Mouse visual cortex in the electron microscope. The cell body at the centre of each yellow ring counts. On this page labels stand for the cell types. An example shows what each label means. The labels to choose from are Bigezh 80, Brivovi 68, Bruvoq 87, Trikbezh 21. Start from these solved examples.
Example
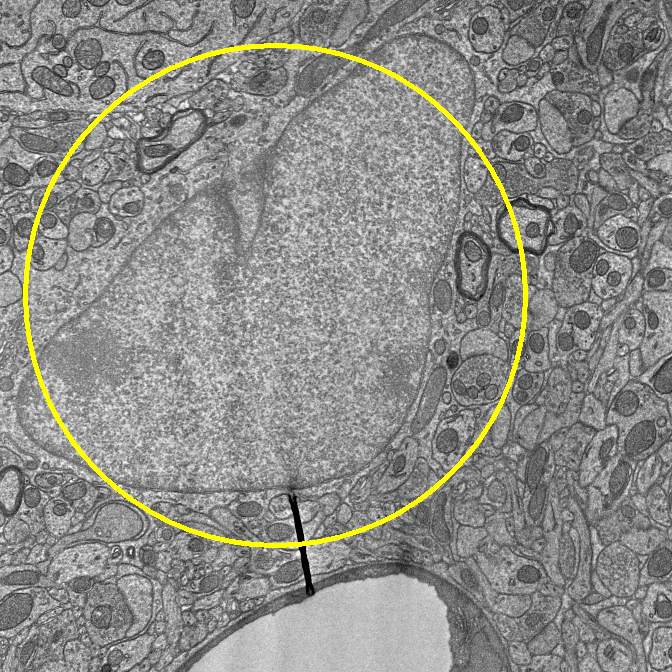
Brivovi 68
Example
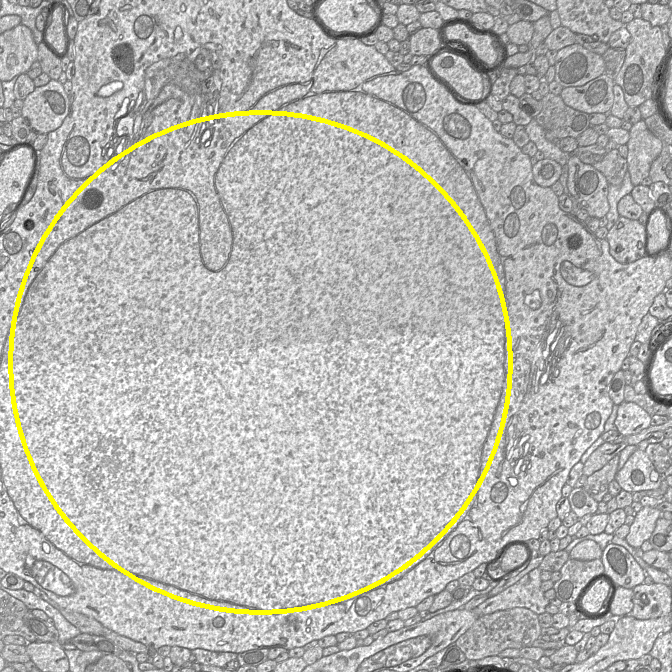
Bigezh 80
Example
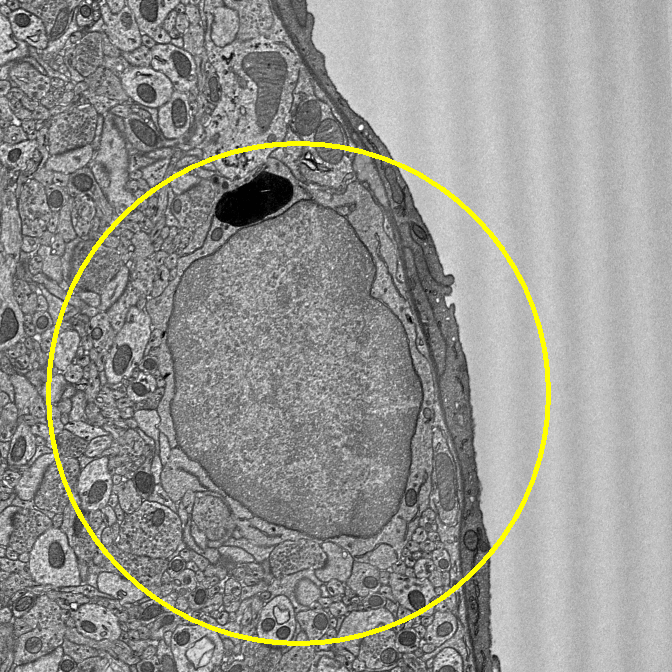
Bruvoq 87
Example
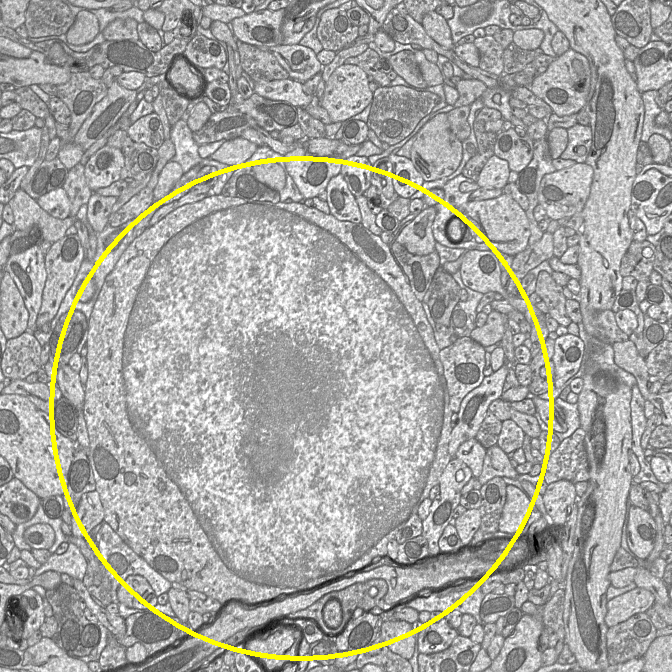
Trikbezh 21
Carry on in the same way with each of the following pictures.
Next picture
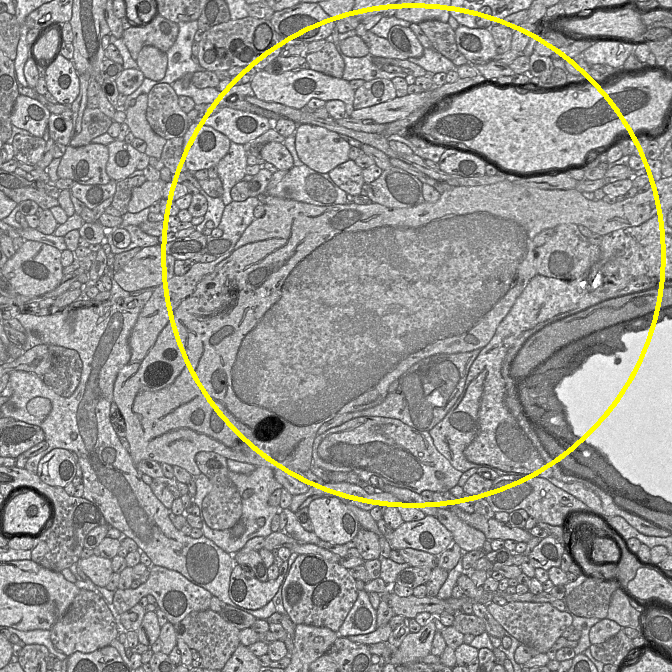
Bruvoq 87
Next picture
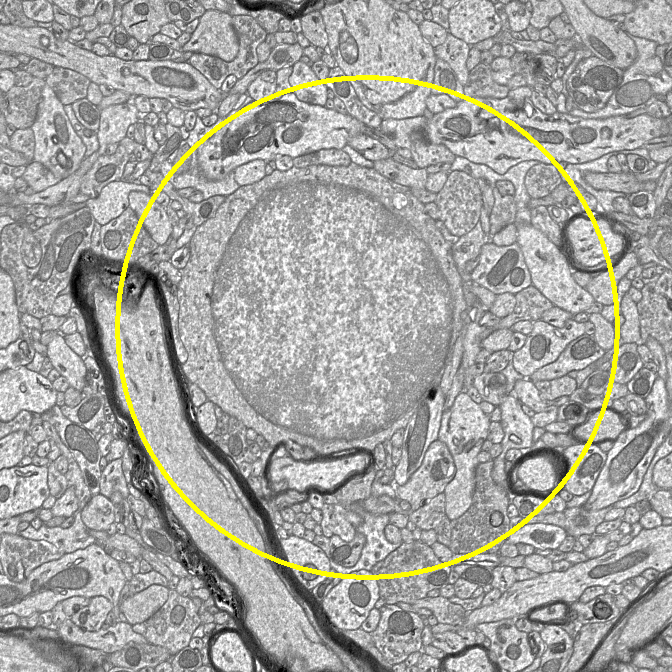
Trikbezh 21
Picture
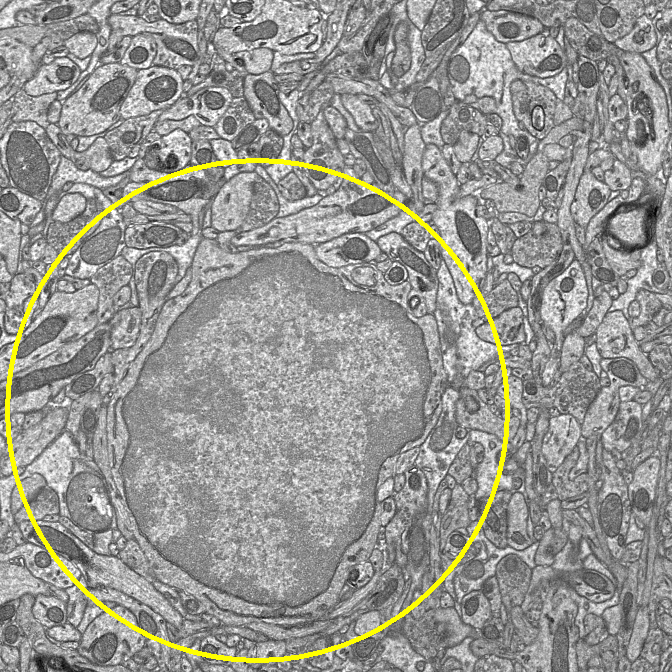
Bruvoq 87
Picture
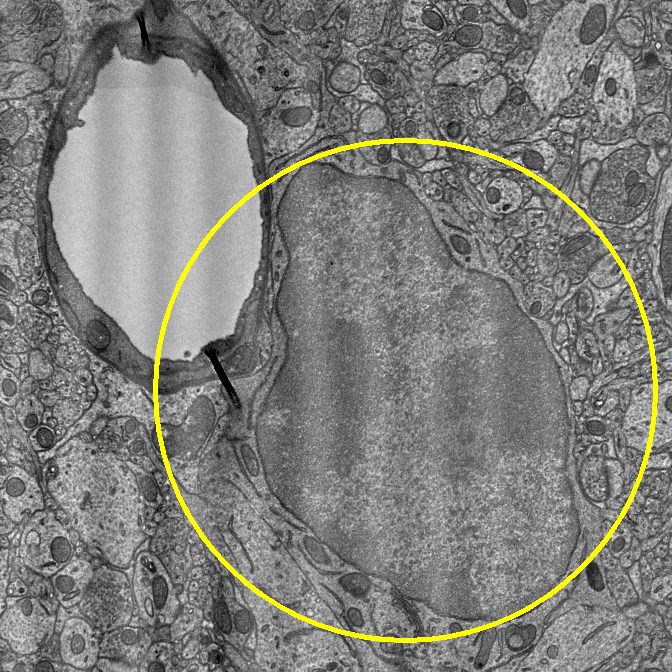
Bruvoq 87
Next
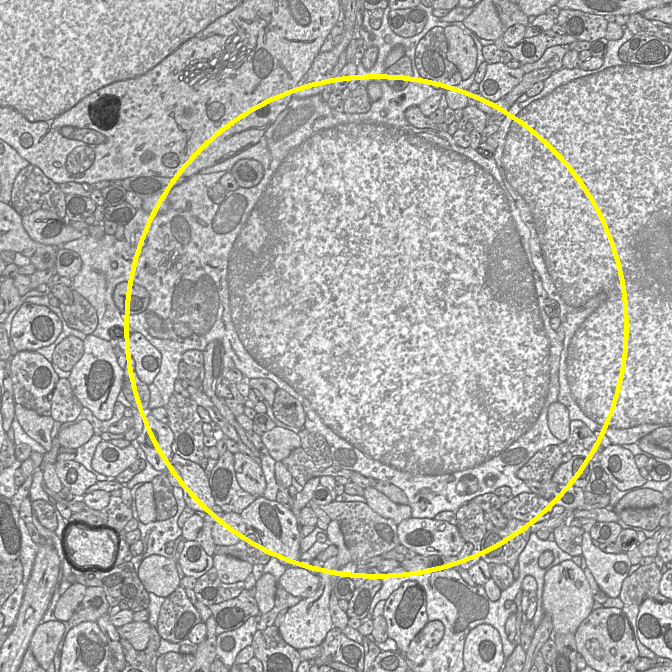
Brivovi 68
